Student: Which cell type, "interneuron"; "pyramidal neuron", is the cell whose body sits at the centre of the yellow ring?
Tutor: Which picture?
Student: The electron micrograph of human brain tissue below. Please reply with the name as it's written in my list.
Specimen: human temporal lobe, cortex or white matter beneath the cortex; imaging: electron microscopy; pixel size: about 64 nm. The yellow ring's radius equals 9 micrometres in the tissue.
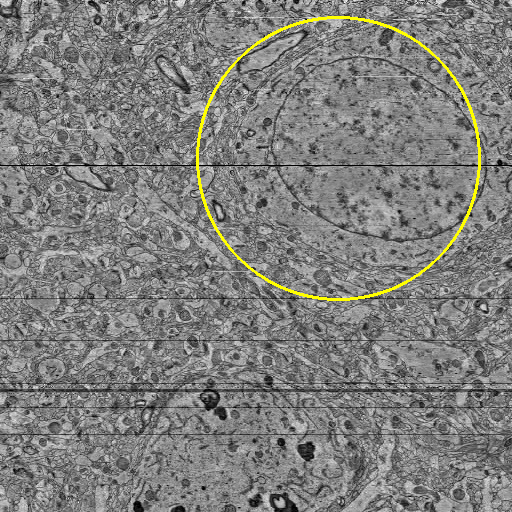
pyramidal neuron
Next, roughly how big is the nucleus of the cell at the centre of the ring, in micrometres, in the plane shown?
In this plane, the nucleus is roughly 14 by 11 micrometres.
